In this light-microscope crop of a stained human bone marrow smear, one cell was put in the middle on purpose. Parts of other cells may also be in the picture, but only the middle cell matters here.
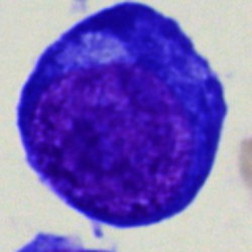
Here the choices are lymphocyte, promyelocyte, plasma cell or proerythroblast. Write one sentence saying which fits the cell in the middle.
Positioned in the middle of the crop is a proerythroblast.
